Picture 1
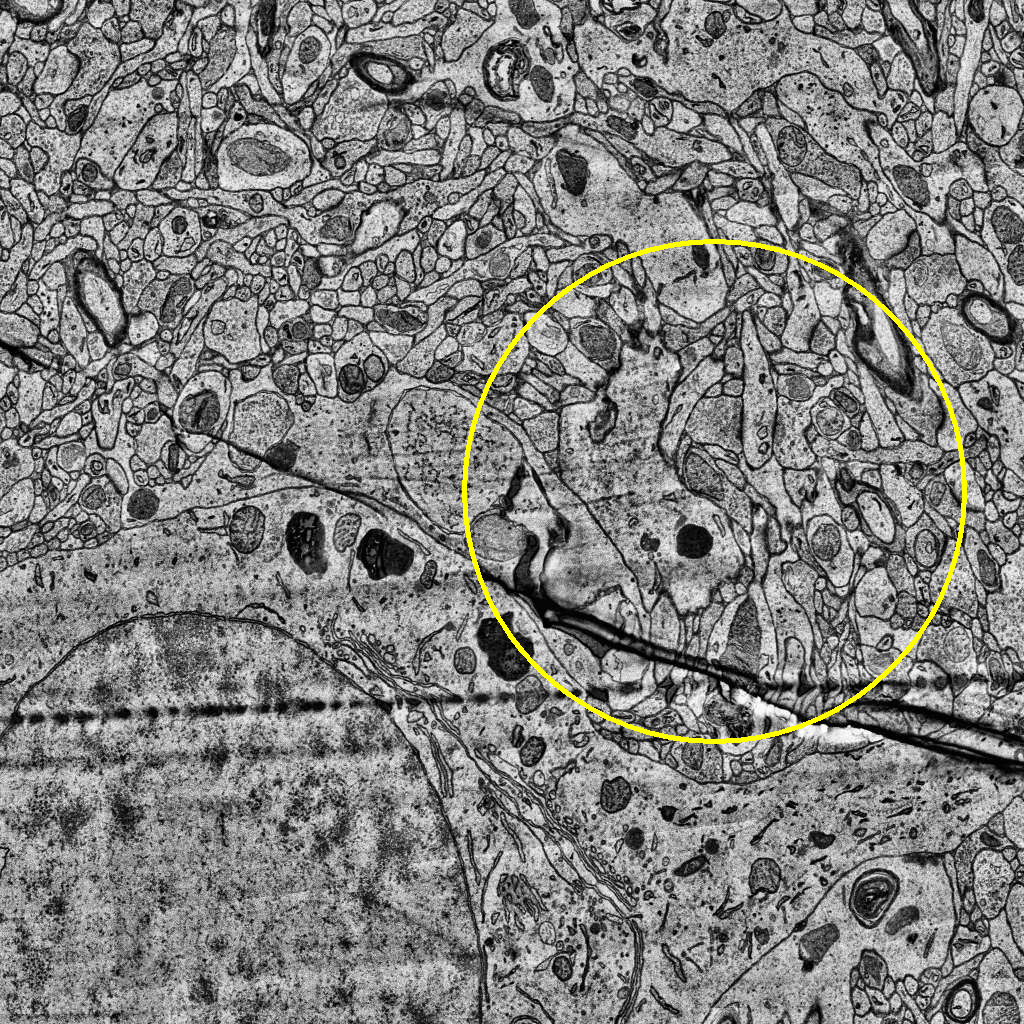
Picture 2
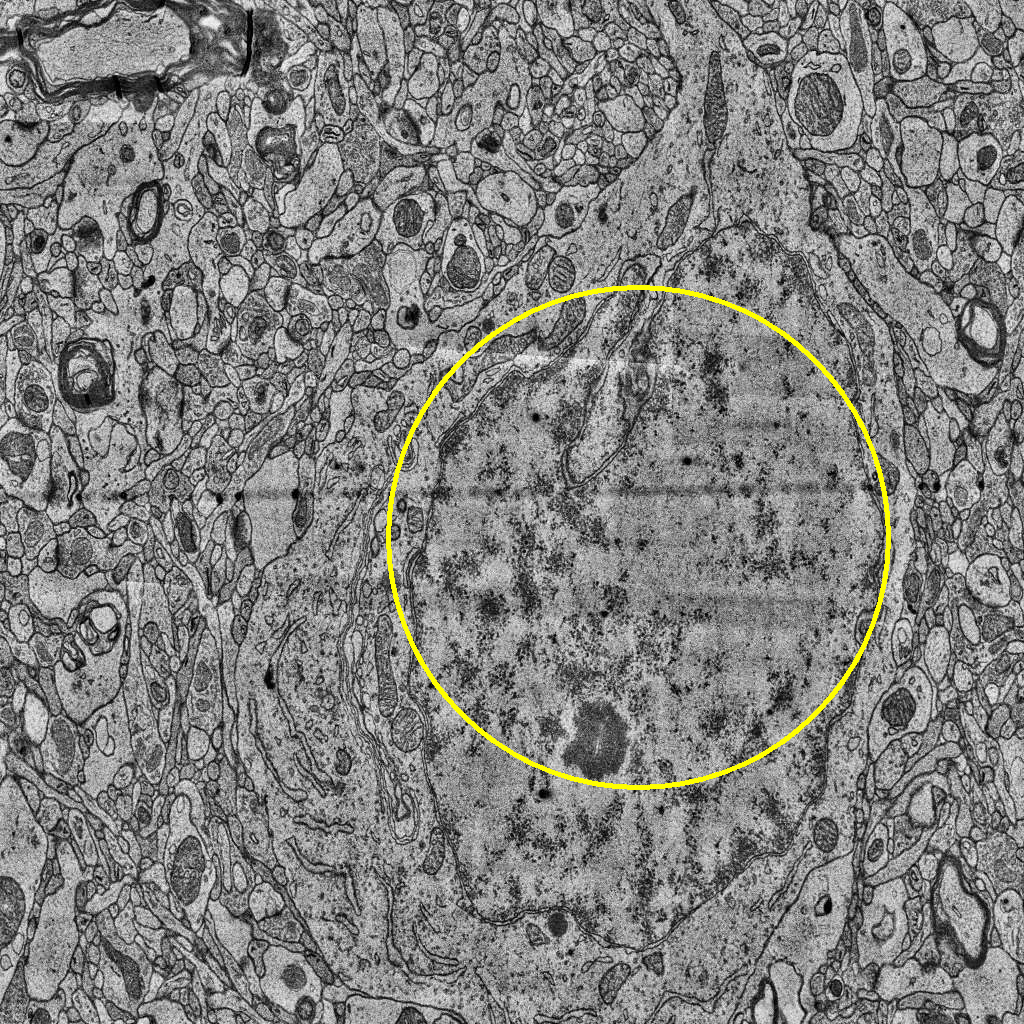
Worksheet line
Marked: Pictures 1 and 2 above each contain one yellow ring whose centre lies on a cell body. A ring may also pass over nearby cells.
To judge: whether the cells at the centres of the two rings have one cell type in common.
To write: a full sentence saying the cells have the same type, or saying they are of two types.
The cells at the centres of the rings in Picture 1 and Picture 2 are of two types.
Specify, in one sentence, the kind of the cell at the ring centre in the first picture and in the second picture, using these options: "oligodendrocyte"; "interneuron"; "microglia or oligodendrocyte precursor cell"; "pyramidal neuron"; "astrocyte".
For the first picture it is a pyramidal neuron; for the second, an interneuron.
